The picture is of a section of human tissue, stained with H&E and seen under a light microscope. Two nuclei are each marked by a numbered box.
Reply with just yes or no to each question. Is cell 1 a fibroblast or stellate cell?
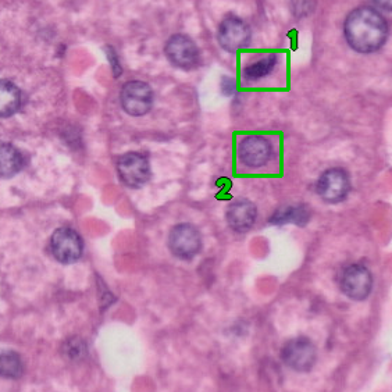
yes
